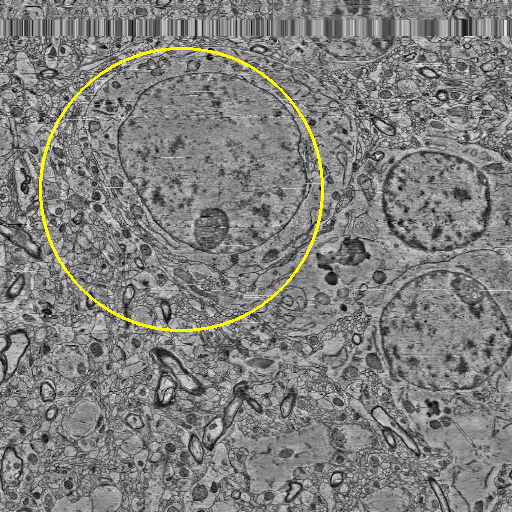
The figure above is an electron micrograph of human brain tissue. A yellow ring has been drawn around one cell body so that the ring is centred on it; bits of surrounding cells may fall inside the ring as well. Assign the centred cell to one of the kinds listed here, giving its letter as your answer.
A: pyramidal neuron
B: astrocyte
A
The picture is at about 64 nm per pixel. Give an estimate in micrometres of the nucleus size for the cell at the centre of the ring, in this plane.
About 12 micrometers across, in this plane.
